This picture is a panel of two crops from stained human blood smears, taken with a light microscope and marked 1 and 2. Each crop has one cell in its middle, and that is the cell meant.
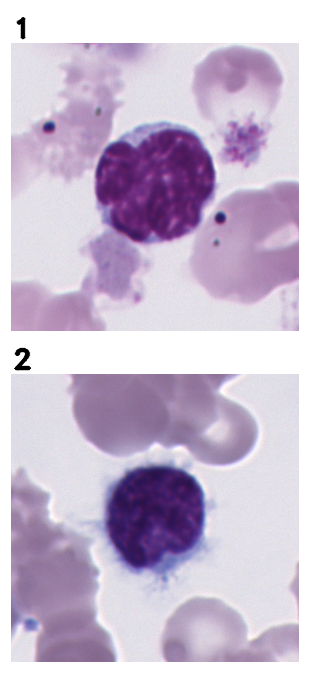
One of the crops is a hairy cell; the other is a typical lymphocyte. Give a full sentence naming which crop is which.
Crop 1 is recognised as a typical lymphocyte, crop 2 as a hairy cell.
